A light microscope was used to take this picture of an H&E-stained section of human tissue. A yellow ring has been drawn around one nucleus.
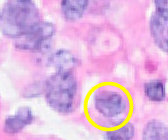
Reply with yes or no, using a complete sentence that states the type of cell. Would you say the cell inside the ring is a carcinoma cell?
Yes, the naming of the cell inside the ring as a carcinoma cell is correct.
